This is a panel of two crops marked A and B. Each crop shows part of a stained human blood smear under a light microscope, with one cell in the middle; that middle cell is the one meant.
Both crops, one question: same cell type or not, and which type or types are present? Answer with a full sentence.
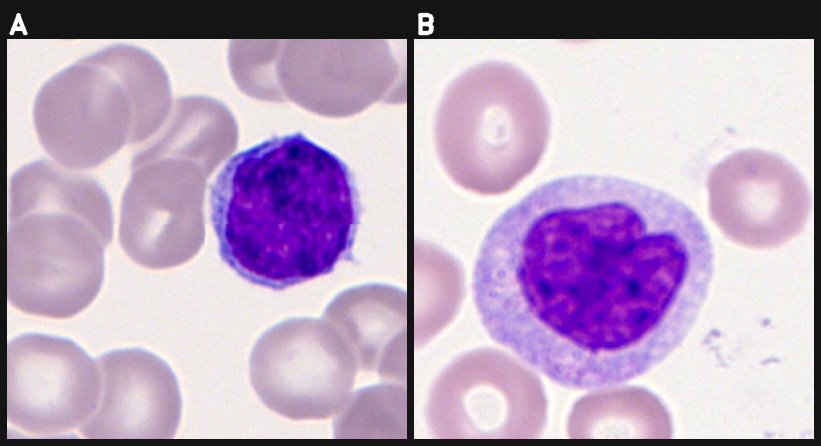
No, a lymphocyte is what crop A shows, and a monocyte is what crop B shows.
